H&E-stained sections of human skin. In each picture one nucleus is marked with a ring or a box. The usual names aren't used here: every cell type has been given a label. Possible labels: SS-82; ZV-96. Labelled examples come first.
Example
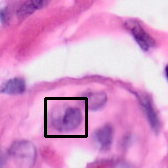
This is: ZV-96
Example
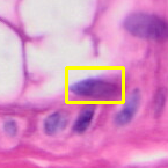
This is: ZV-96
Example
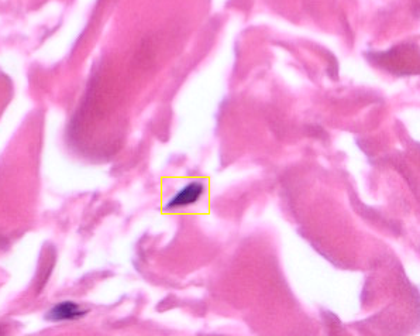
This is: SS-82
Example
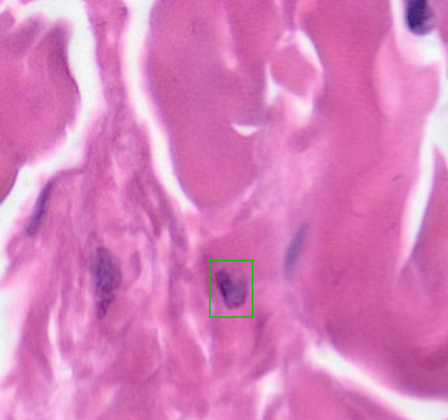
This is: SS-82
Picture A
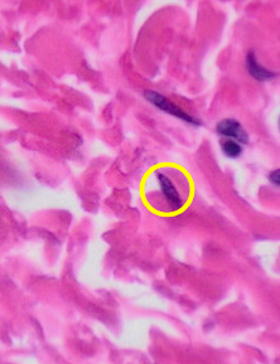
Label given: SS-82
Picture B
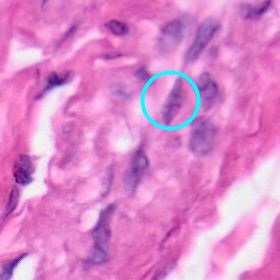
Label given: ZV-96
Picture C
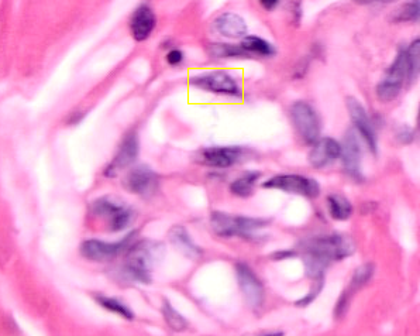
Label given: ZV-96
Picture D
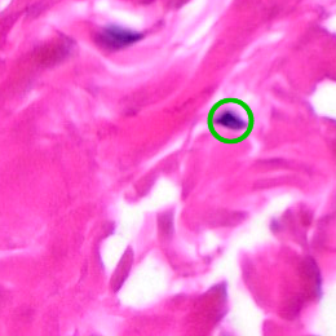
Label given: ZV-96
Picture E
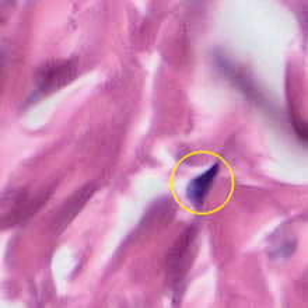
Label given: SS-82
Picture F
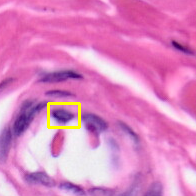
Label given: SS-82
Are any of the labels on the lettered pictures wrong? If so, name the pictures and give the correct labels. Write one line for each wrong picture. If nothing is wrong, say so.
D is labelled ZV-96; correct label: SS-82
F is labelled SS-82; correct label: ZV-96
